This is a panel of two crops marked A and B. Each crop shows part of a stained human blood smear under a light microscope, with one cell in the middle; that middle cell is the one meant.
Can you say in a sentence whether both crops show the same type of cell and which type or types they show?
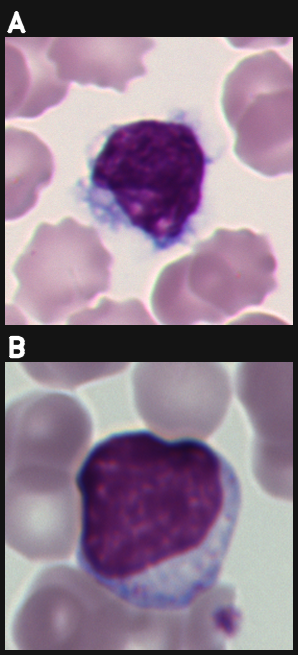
No, crop A contains a hairy cell, and crop B contains a large granular lymphocyte.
